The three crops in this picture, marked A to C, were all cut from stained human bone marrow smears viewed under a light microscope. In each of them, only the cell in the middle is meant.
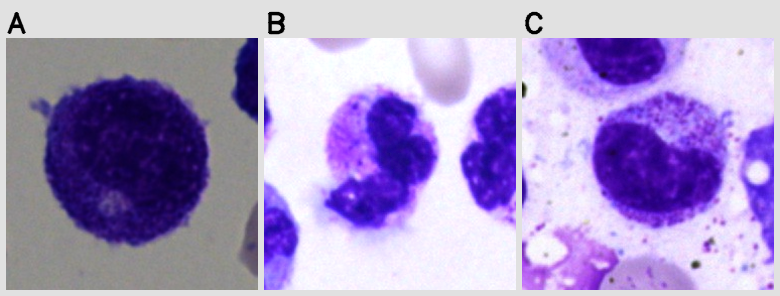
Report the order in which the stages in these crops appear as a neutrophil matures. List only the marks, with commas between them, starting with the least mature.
A, C, B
